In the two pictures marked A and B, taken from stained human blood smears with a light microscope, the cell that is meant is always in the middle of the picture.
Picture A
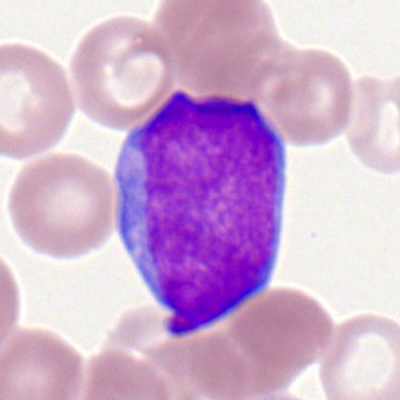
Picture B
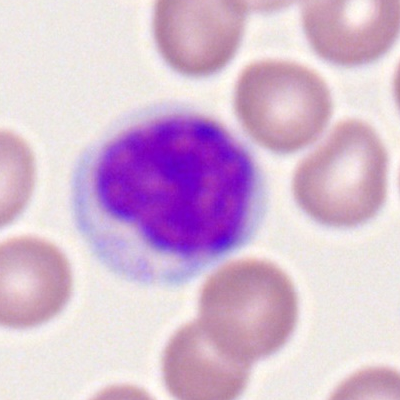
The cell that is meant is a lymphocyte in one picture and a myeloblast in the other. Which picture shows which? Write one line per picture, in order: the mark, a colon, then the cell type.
A: myeloblast
B: lymphocyte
